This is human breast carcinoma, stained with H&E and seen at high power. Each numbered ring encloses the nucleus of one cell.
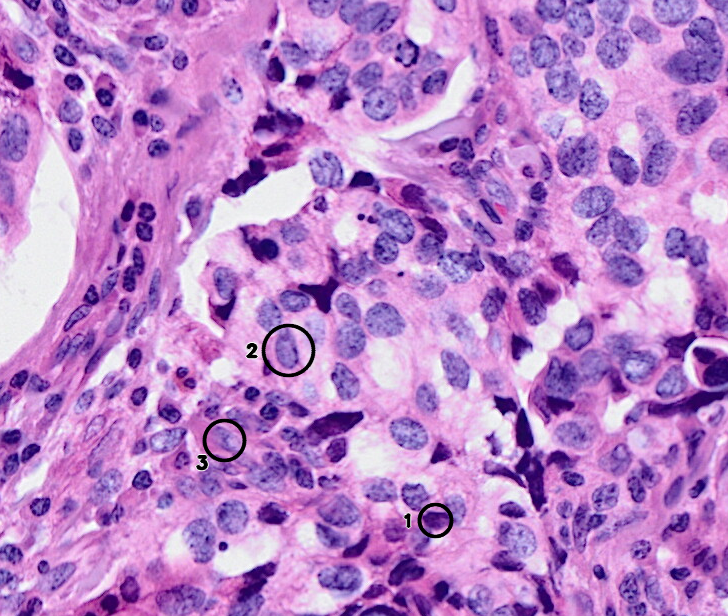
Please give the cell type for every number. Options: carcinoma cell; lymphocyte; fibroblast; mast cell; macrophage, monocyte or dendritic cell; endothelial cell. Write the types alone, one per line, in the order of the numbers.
carcinoma cell
carcinoma cell
endothelial cell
